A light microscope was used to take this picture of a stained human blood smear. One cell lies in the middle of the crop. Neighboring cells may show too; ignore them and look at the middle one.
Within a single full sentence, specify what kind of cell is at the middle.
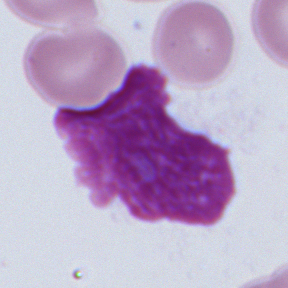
Whatever else lies nearby, the middle cell is a smudge cell.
